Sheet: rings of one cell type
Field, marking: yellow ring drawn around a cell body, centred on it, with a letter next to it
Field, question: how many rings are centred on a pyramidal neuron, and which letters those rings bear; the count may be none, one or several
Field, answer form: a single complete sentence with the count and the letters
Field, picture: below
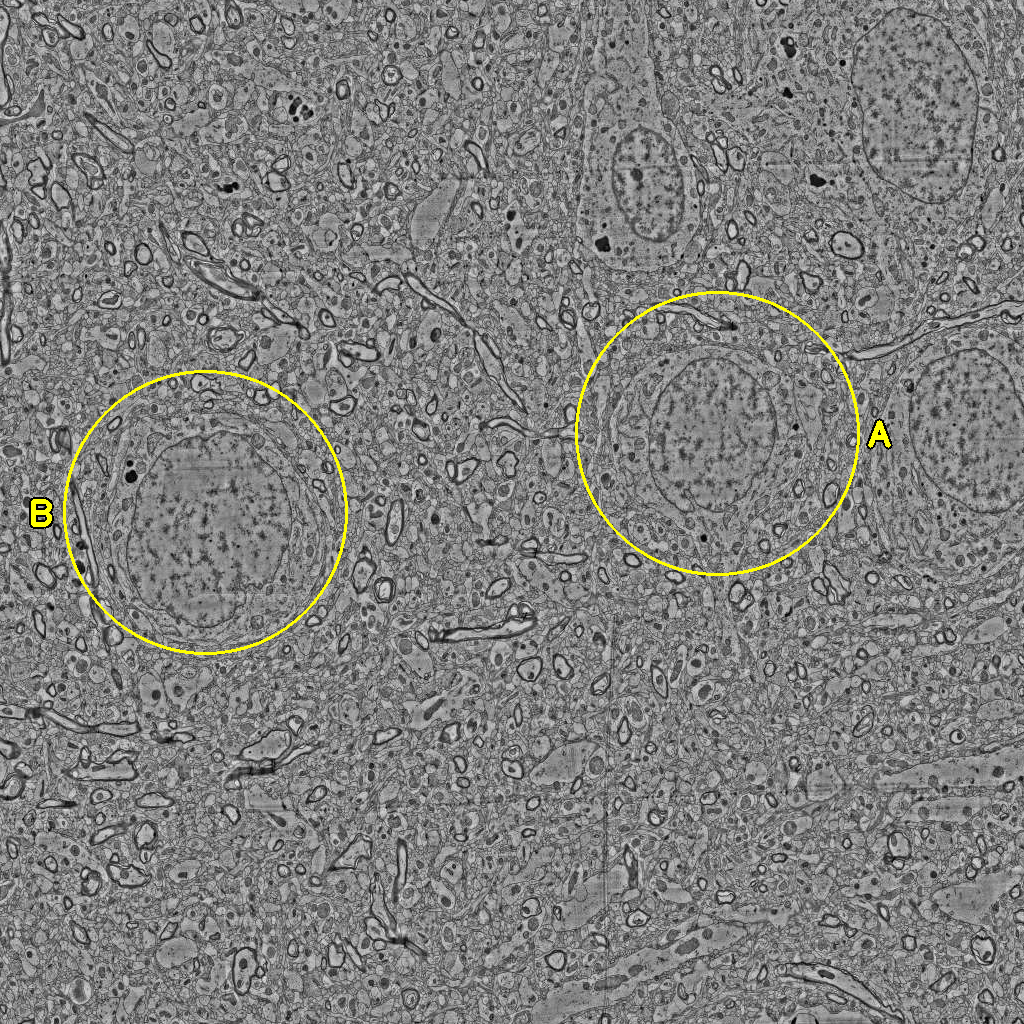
The set of rings with the letters A and B contains two members, each centred on a pyramidal neuron.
